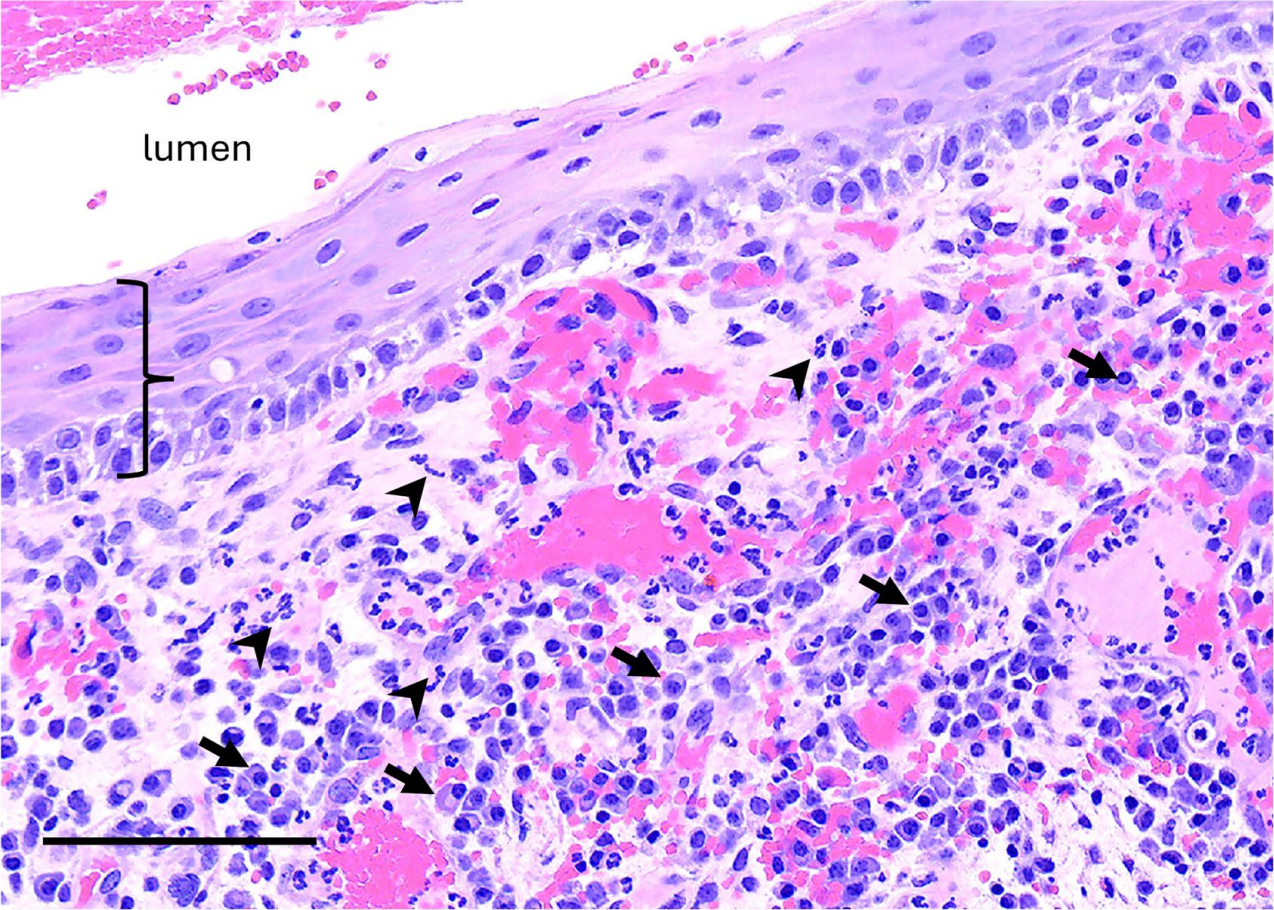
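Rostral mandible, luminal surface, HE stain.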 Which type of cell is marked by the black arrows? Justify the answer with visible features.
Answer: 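The marked cells are round to oval with moderate amounts of cytoplasm. Their round nuclei sit off-centre in the cell. Their nuclear chromatin is dark and coarsely clumped. On this evidence: plasma cells.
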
